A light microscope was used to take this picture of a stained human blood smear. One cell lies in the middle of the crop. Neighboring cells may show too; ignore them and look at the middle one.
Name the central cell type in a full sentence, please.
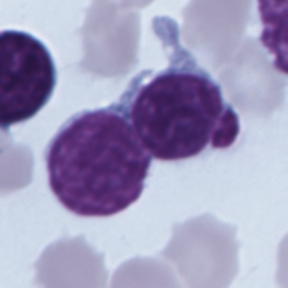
Centred in the crop is a myeloblast.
